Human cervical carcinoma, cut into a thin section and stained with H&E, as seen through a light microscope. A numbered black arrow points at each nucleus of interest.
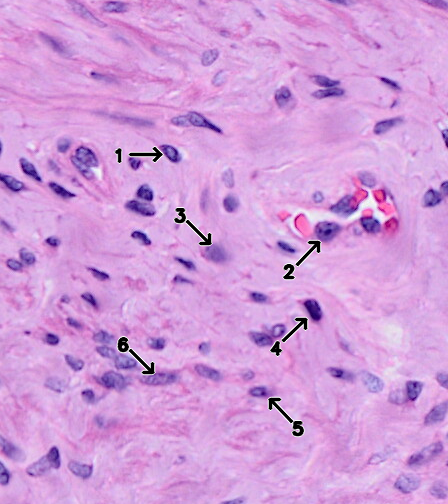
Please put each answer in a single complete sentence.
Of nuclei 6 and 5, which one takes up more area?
Number 6 is larger; its area is about 2 times that of number 5.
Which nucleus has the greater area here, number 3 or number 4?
At about 1.5 times the area of nucleus 4, nucleus 3 is the larger of the two.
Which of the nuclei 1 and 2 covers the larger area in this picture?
The larger nucleus is 2, at roughly 2 times the area of 1.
